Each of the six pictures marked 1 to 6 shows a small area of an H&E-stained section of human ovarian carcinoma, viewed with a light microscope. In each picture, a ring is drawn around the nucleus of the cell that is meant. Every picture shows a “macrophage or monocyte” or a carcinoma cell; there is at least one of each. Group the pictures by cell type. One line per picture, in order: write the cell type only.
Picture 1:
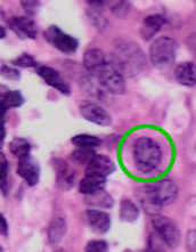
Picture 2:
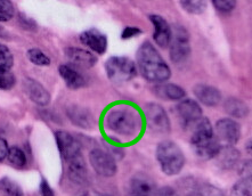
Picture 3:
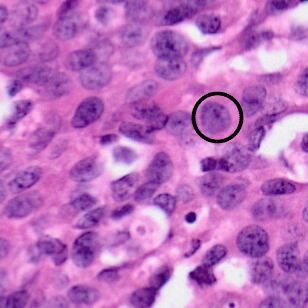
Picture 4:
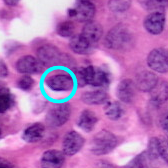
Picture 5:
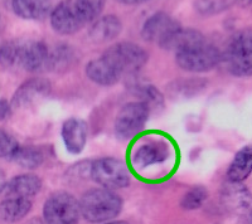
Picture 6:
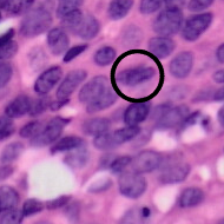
carcinoma cell
macrophage or monocyte
carcinoma cell
carcinoma cell
macrophage or monocyte
carcinoma cell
